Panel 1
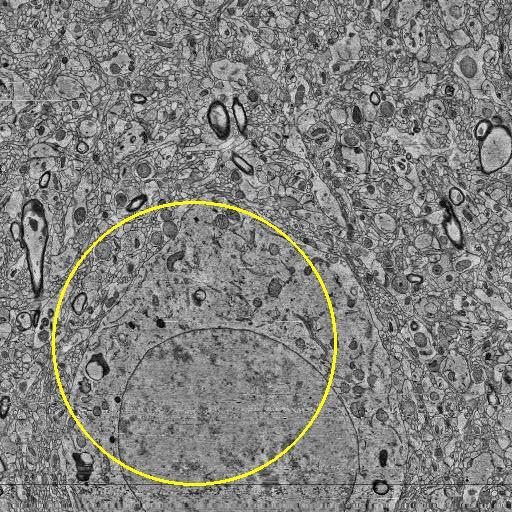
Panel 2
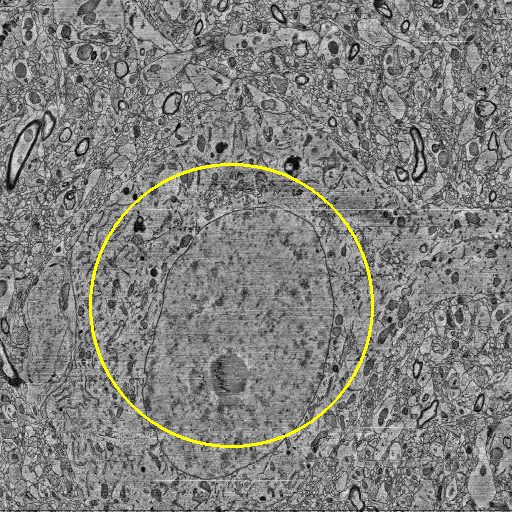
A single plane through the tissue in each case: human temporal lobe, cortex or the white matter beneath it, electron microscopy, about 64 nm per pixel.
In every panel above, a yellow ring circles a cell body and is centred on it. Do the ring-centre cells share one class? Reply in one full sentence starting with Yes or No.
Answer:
Yes, the two cells at the ring centres in the panels belong to one class.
